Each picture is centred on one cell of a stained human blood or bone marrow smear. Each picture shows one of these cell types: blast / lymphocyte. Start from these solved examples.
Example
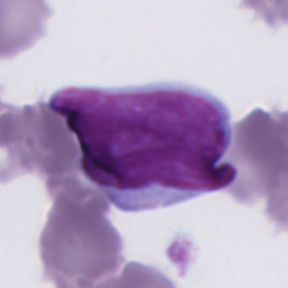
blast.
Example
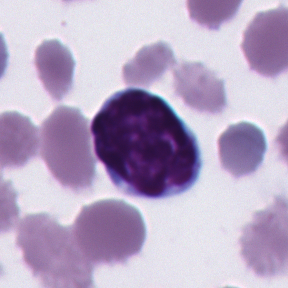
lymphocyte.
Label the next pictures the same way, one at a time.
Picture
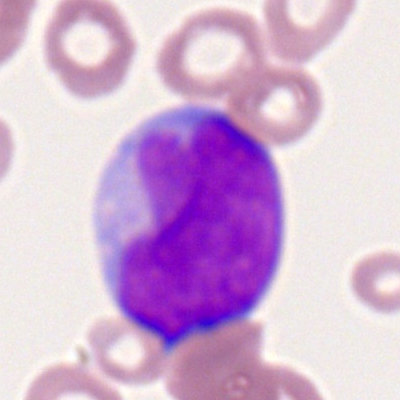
blast.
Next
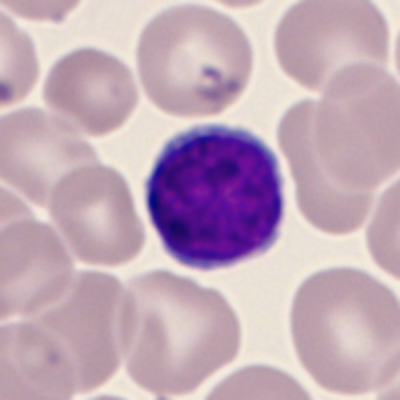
lymphocyte.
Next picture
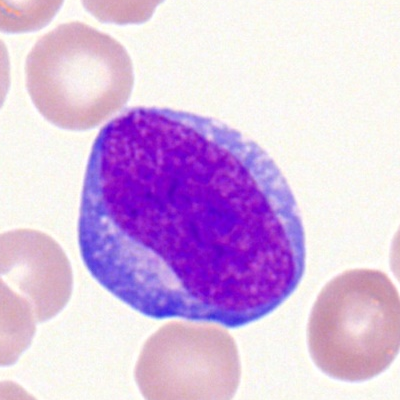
blast.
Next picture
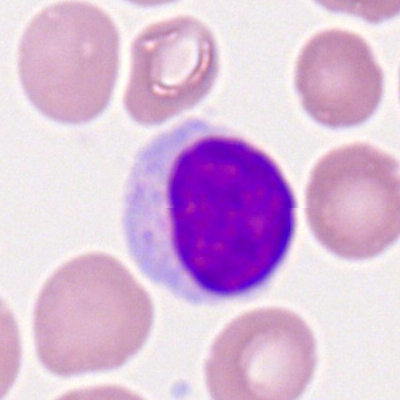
lymphocyte.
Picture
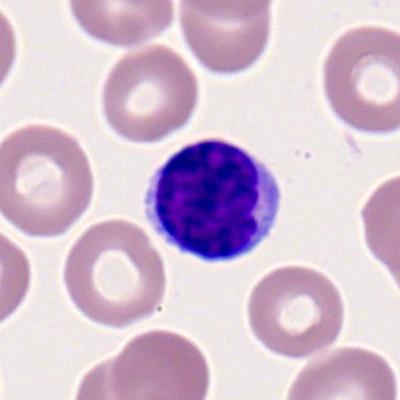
lymphocyte.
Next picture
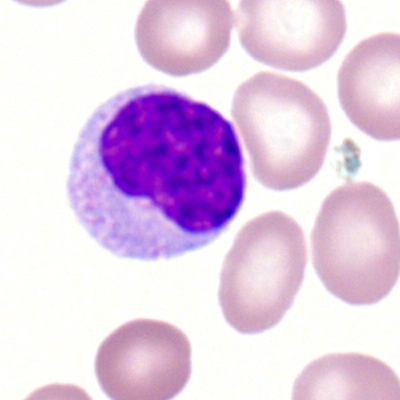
lymphocyte.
